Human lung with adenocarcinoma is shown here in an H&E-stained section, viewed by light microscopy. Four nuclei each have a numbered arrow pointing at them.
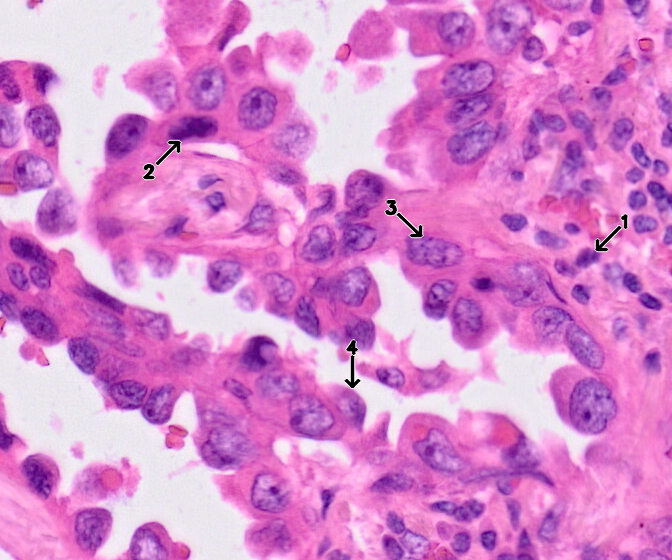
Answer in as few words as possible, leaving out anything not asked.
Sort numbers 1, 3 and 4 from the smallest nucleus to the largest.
1, 4, 3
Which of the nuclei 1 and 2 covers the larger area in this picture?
2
